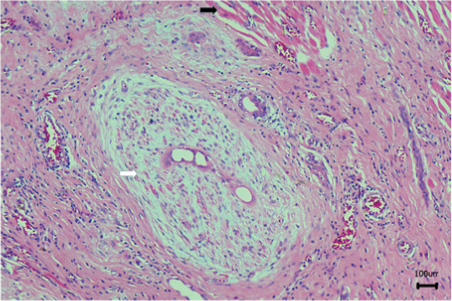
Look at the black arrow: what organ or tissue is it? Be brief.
Muscle.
